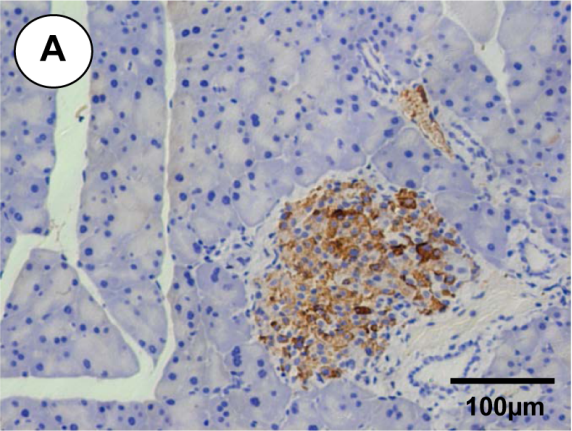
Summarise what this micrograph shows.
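This is pancreatic tissue with a pancreatic islet set among exocrine acinar lobules. The islet is fairly large and irregular in outline. Its brown cytoplasmic staining is patchy: strongly brown cells are mixed with pale, weakly stained cells, and many blue nuclei are visible between them. The surrounding acinar cells are large and pale blue-grey with small round blue nuclei, and loose connective tissue with ducts lies next to the islet.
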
